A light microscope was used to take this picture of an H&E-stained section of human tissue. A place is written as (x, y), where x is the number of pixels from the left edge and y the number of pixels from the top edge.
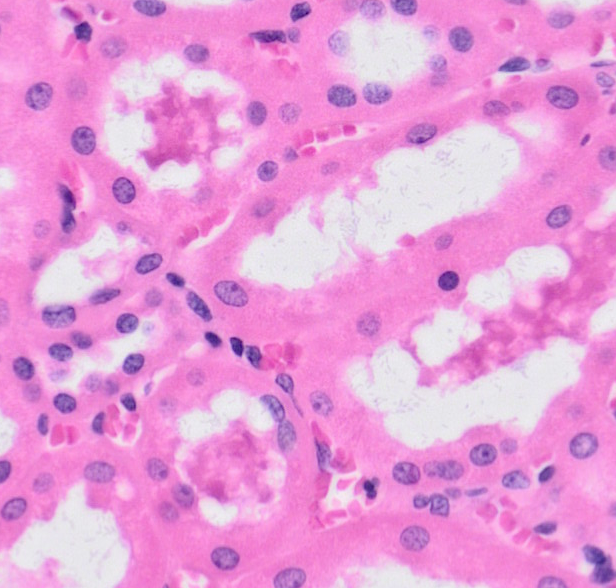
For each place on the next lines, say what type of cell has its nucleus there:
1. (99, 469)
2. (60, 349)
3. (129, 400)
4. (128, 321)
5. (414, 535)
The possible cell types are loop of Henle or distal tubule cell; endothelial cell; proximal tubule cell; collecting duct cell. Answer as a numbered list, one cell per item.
1. proximal tubule cell
2. loop of Henle or distal tubule cell
3. endothelial cell
4. loop of Henle or distal tubule cell
5. proximal tubule cell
